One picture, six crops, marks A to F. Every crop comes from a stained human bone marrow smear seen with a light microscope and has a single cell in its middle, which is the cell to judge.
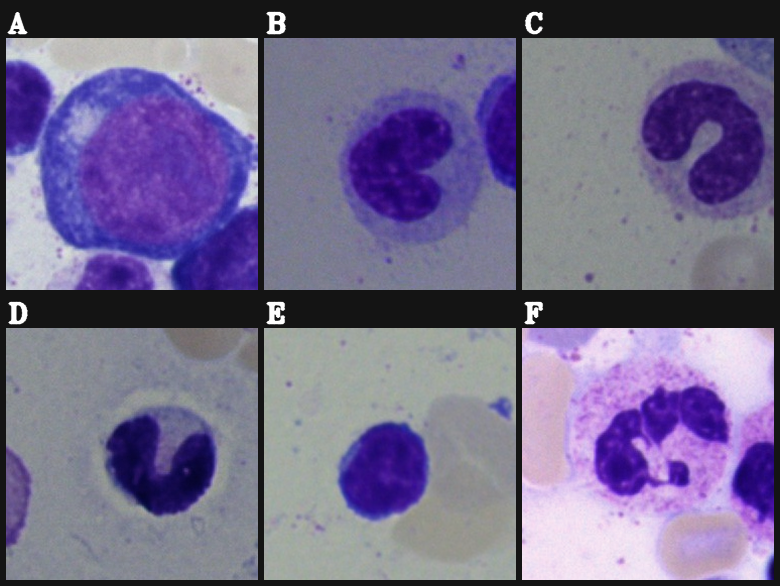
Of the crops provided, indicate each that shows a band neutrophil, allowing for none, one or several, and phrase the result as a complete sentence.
Crops B, C and D show band neutrophils as their middle cells.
